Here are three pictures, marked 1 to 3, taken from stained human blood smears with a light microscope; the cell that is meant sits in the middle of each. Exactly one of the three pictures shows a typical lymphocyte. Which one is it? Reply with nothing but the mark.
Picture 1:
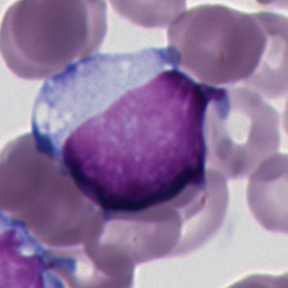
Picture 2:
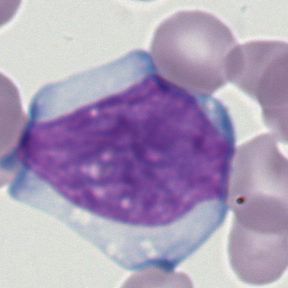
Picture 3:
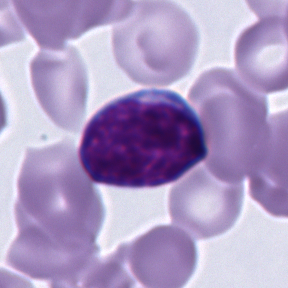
3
